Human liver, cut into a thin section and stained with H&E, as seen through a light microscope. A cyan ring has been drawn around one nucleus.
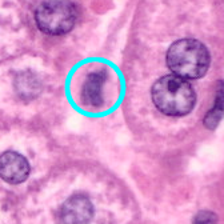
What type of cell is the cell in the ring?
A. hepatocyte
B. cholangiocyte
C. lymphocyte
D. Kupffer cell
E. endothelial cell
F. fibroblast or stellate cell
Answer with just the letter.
D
